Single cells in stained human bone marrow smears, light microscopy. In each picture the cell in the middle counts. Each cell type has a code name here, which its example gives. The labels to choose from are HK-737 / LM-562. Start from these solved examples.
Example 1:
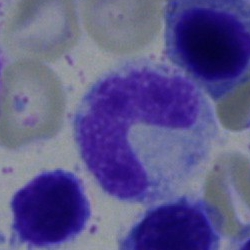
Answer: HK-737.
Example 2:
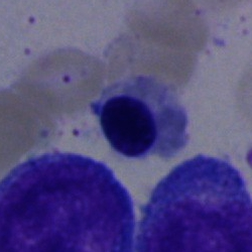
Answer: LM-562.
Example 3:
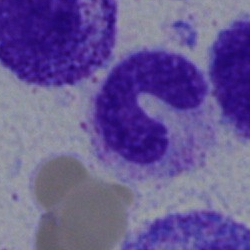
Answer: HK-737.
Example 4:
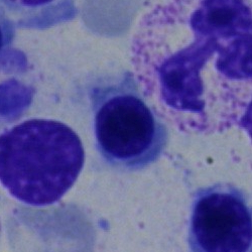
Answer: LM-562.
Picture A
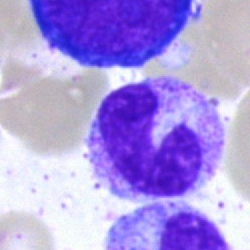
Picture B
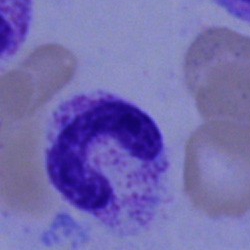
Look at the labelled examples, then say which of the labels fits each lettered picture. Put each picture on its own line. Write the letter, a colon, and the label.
A: HK-737.
B: HK-737.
